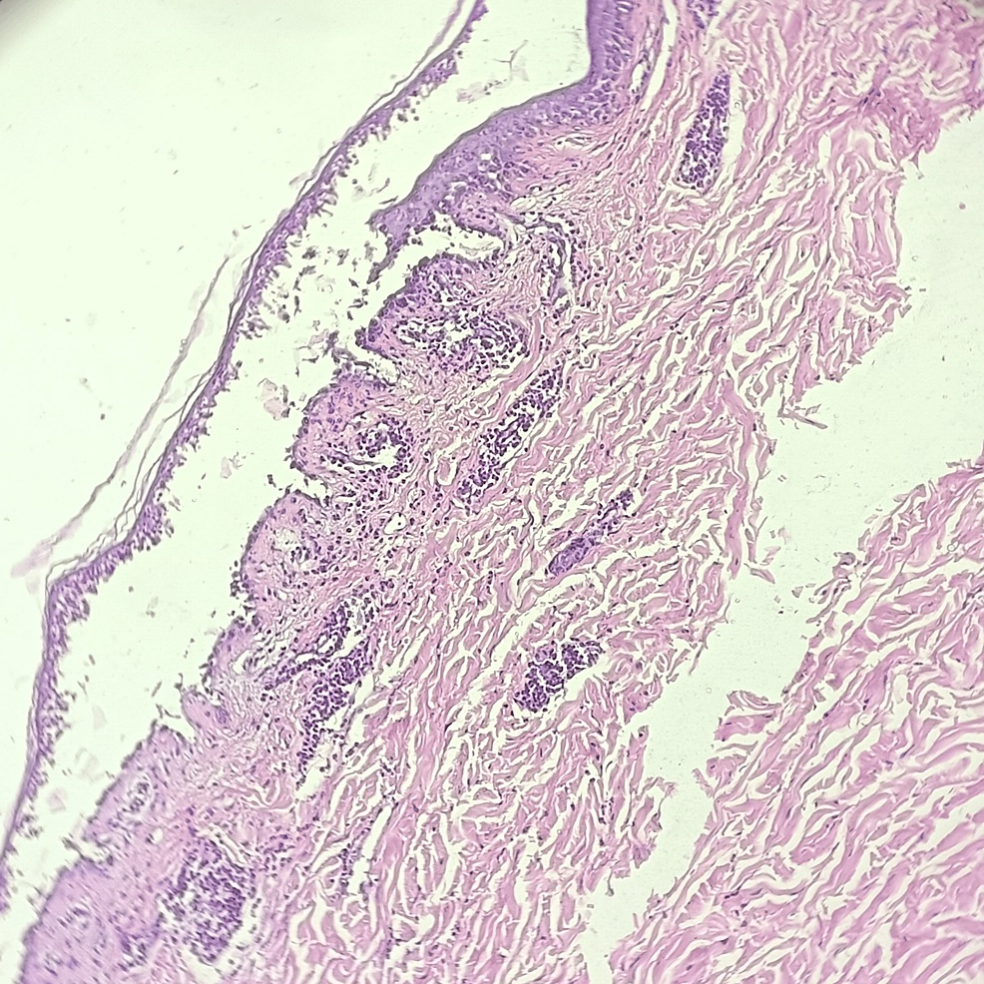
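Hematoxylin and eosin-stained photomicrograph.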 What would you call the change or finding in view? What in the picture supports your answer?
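A clear space splits the epidermis, with a thin detached sheet of epithelium forming the roof at upper left. A single row of basal cells stays attached to the dermal papillae along the floor of the space. A few loose, rounded cells lie free within the space. So: intraepidermal blister in the suprabasal plane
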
